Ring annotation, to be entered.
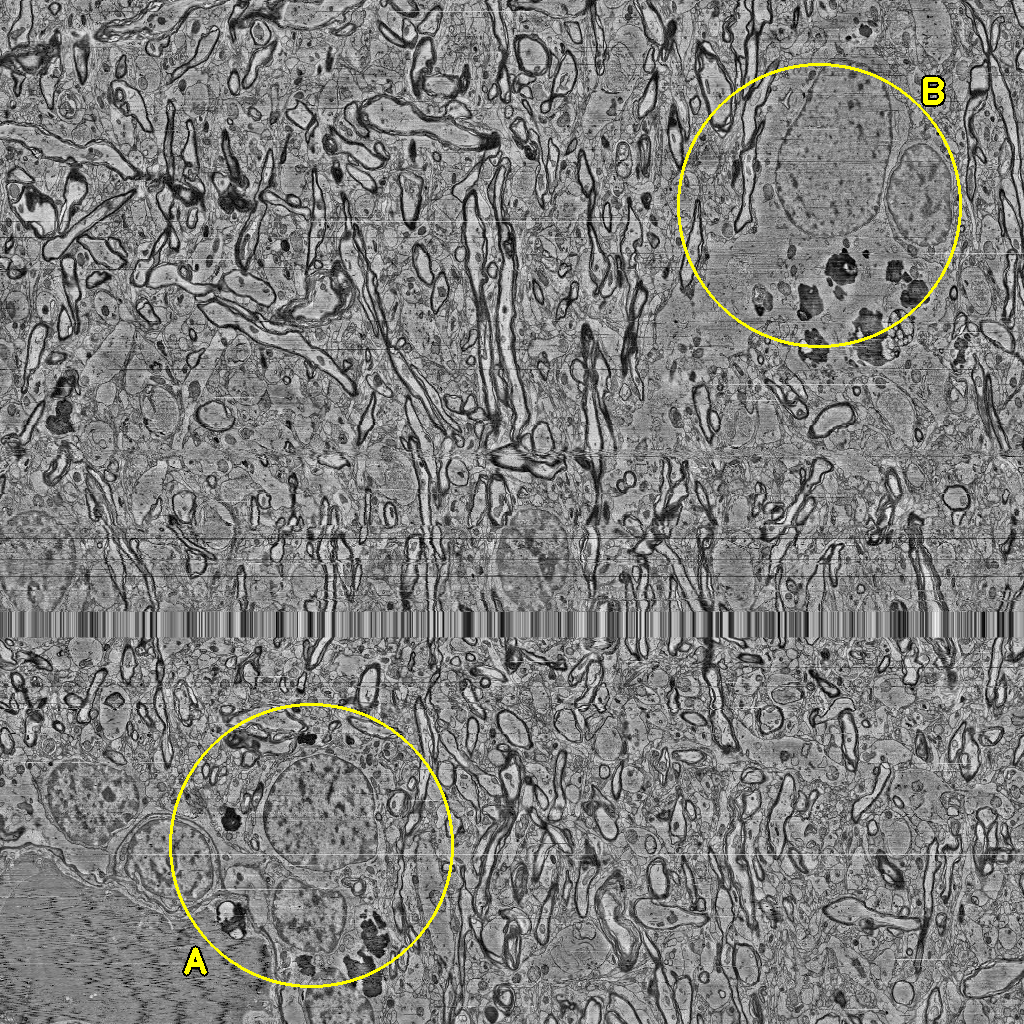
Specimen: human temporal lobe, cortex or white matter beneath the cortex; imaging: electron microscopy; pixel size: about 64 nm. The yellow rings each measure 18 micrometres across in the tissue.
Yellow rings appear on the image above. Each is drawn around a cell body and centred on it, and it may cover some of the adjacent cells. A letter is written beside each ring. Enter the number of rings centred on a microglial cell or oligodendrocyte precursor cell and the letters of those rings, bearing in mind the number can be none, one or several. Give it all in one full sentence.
Just one ring is centred on a microglial cell or oligodendrocyte precursor cell, with the letter A placed beside it.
